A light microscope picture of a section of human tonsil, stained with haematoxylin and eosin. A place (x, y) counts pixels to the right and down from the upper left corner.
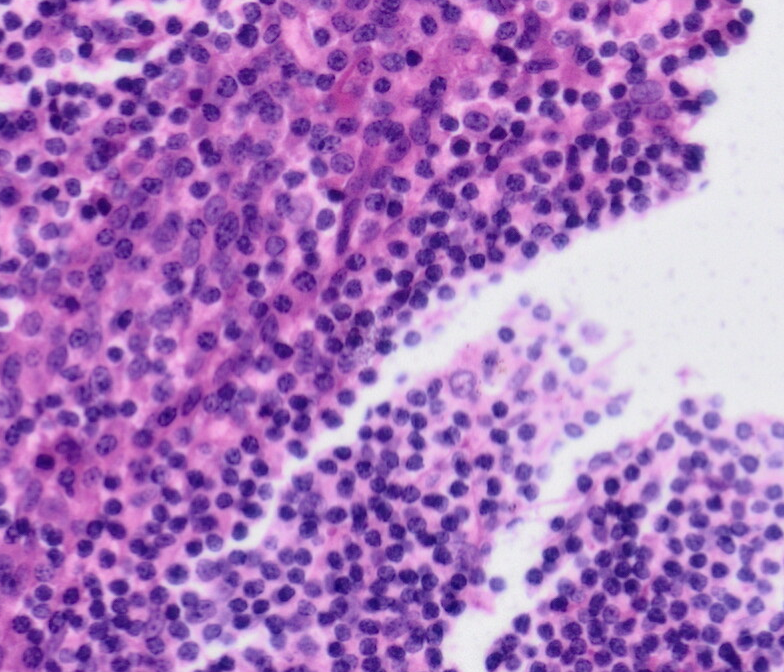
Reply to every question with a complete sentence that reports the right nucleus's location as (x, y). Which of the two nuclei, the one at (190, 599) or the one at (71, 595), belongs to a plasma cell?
The nucleus at (71, 595), rather than the other, belongs to a plasma cell.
